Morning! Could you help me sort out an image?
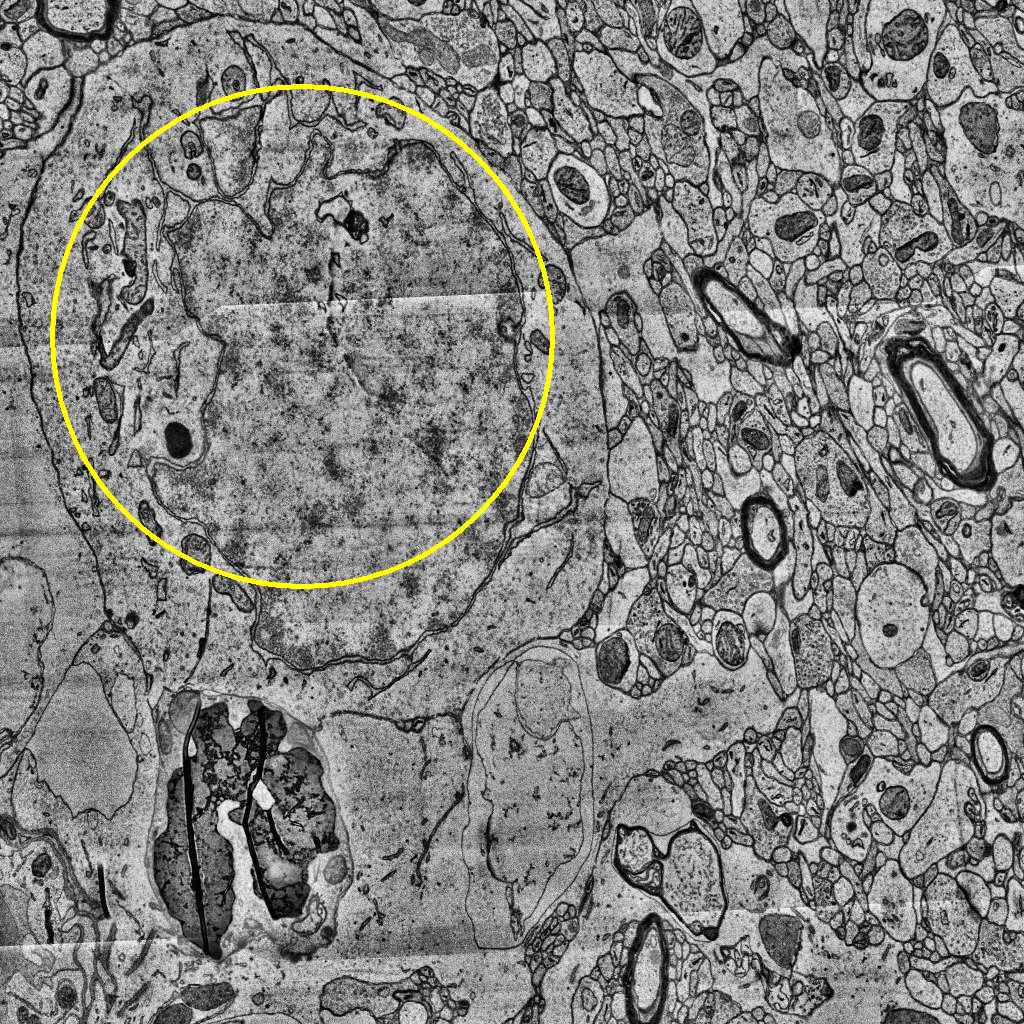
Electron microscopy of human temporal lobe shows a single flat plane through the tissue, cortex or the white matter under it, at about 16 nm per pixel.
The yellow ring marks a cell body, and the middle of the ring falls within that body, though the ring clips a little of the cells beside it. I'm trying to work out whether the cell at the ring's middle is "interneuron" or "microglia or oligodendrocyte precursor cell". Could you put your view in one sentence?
The cell body at the ring's middle is that of an interneuron.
